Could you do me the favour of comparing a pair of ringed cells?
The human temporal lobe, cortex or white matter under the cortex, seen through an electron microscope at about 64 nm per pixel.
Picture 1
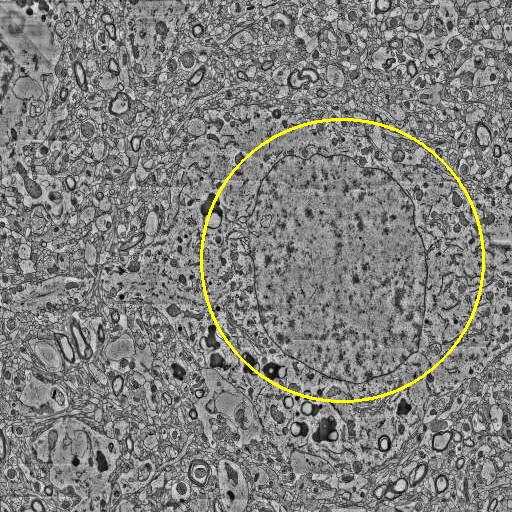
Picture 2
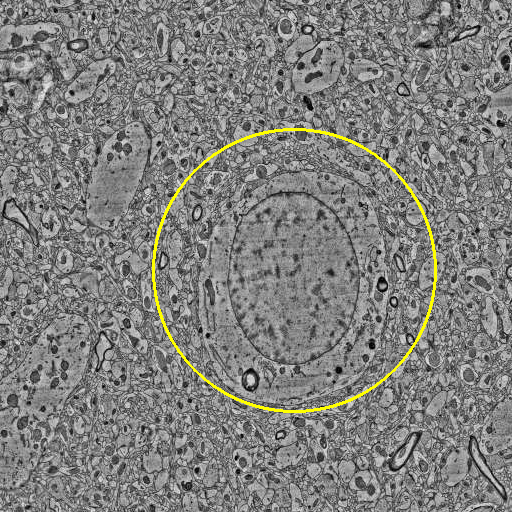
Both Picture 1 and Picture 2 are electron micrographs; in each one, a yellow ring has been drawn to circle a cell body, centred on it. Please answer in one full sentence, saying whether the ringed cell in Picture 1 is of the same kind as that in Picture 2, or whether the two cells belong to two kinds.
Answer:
The ringed cell in Picture 1 is of the same kind as that in Picture 2.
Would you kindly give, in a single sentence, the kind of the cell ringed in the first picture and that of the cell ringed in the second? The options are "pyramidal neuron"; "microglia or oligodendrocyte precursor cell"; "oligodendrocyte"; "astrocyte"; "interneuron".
The ring centre holds a pyramidal neuron in each of the two pictures.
